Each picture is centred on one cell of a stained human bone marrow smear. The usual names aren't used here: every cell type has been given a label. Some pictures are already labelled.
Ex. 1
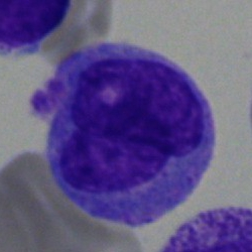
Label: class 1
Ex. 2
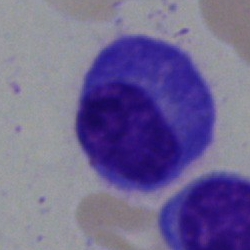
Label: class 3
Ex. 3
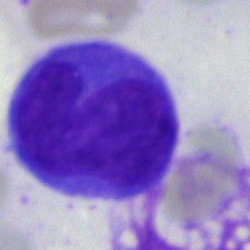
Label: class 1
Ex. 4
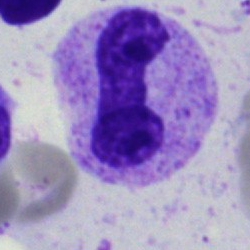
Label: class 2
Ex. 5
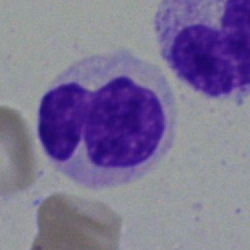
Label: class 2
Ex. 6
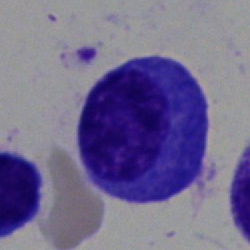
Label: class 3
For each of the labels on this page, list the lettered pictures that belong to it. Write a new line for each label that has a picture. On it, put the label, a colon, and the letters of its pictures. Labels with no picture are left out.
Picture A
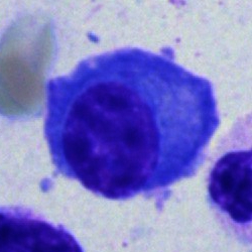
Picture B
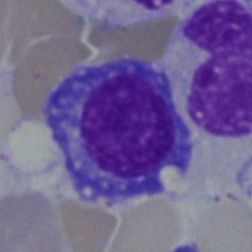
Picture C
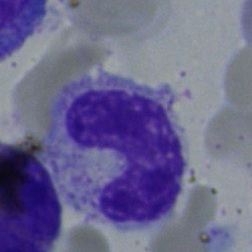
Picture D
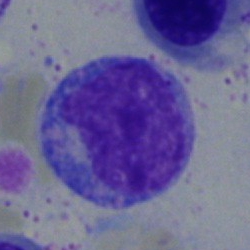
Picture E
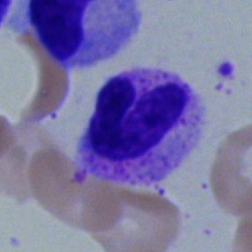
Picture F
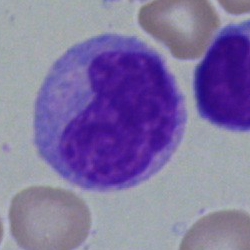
class 1: D, F
class 3: A, B
class 2: C, E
